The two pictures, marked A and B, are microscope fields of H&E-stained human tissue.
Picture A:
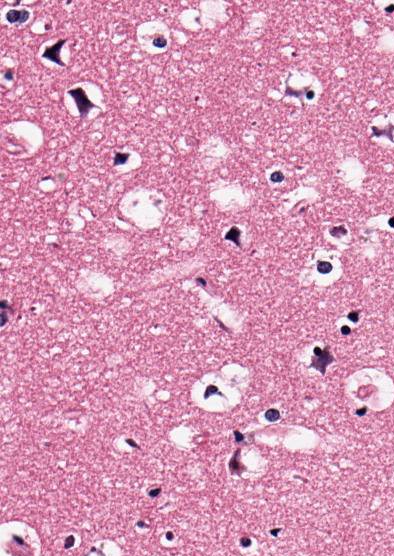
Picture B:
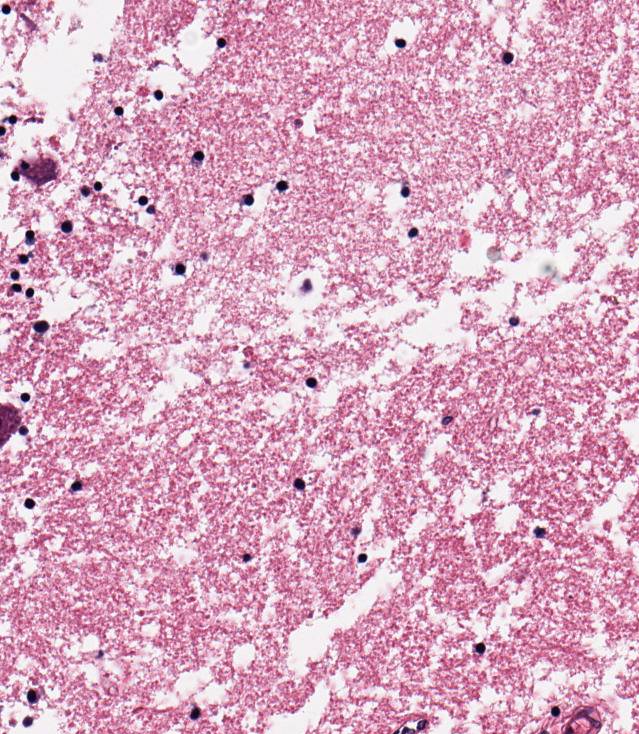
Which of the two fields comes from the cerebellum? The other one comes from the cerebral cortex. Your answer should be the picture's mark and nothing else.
B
